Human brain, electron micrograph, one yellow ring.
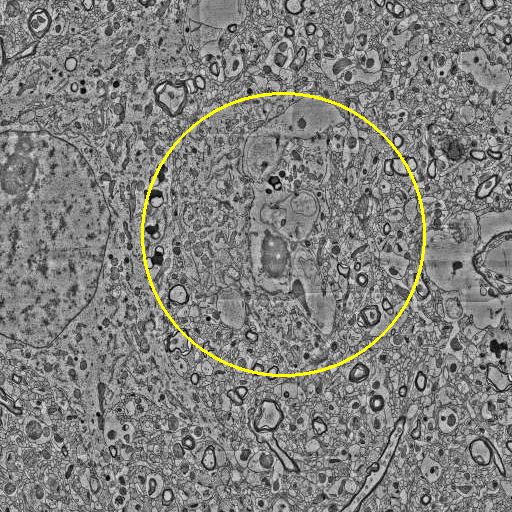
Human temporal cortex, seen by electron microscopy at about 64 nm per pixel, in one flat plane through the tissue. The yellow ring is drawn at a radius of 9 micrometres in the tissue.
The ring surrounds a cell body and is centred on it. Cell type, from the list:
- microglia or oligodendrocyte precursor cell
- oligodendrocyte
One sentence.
The yellow ring circles a microglial cell or oligodendrocyte precursor cell.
